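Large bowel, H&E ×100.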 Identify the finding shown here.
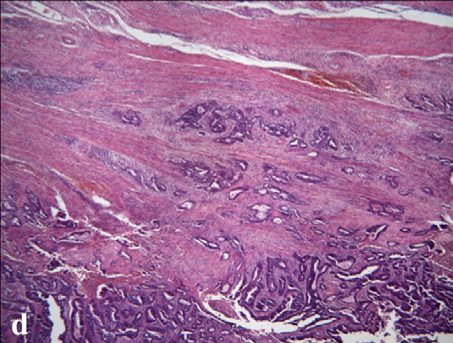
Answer: Tubular adenocarcinoma.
